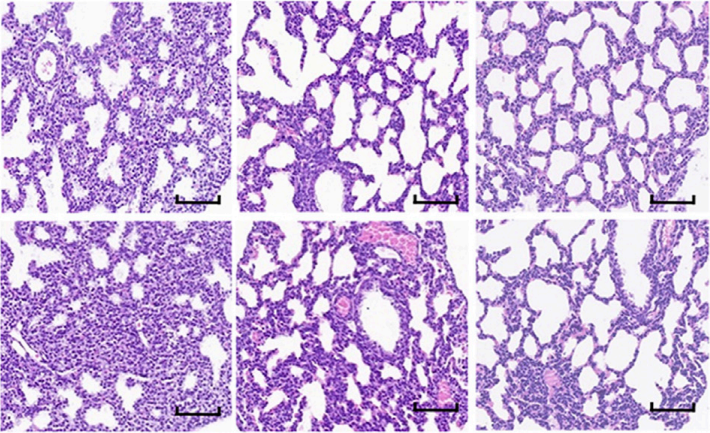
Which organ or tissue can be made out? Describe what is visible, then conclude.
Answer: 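Thin septa enclose many rounded empty air spaces. Occasional larger airway lined by cuboidal epithelium and vessels containing red blood cells. The answer: lungs.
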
